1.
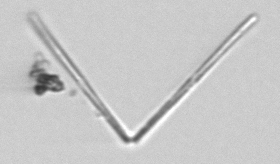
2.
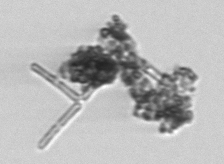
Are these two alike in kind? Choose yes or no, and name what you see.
Yes. Thalassionema.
